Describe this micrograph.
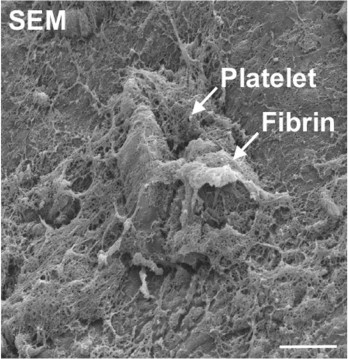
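A raised, ridged mass sits in the centre and is covered by a tangle of fine fibres that form a loose, porous mesh. Toward the edges the surface becomes more open and spongy, with holes between the fibres. The overall picture is of a compact aggregate bound together by a fibrous mesh.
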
